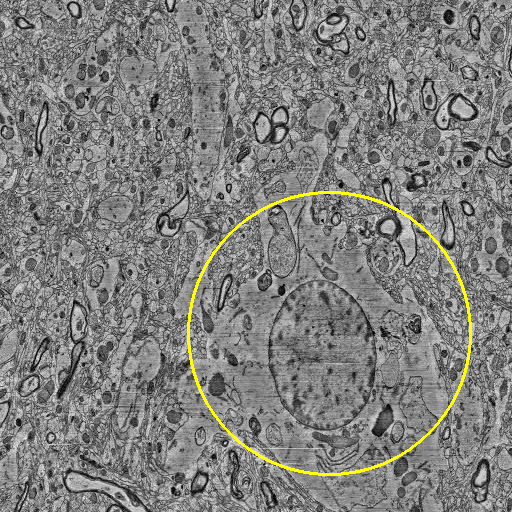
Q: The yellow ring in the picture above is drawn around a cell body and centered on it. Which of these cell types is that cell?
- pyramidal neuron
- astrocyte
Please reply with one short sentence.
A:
The cell body at the ring's center belongs to an astrocyte.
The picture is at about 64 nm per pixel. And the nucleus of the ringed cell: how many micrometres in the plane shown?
Roughly 10 by 7 micrometres is the size of the nucleus in this plane.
